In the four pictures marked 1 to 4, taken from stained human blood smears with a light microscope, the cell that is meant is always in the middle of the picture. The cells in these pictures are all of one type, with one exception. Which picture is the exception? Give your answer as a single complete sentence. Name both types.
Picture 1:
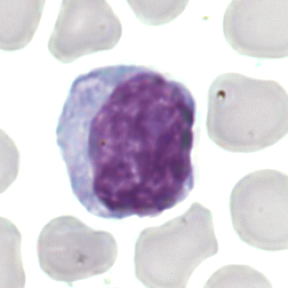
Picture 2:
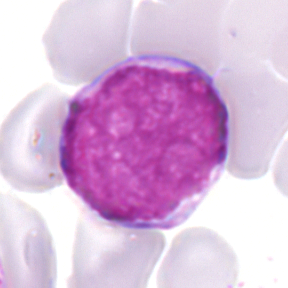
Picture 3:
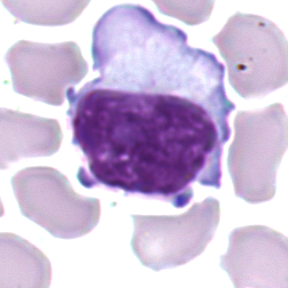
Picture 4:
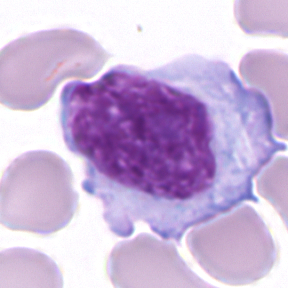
Unlike the rest, which show plasma cells, picture 2 shows a myeloblast.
